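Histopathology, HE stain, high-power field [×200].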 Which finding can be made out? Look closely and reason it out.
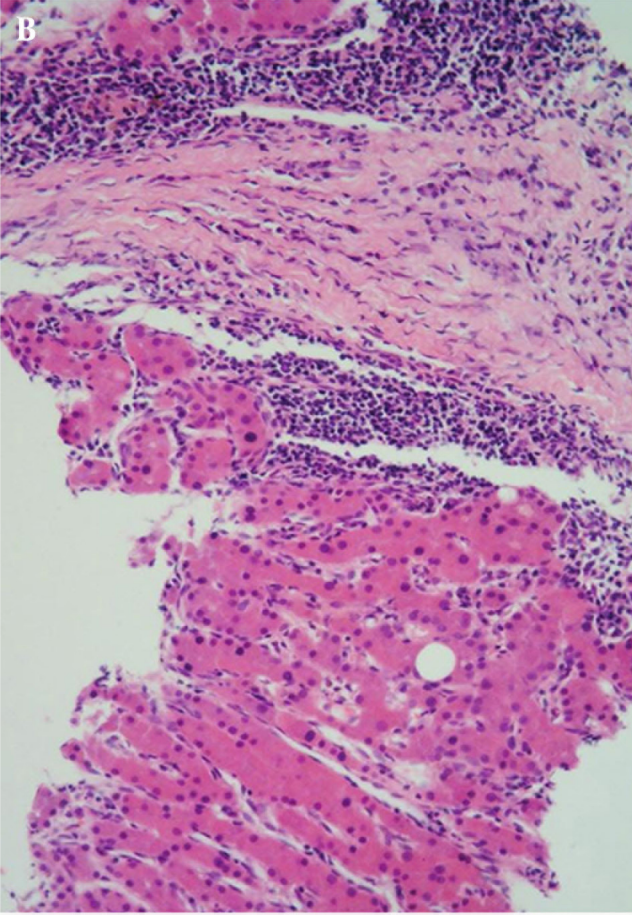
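Dense sheets of small round dark-blue nuclei with scant cytoplasm lie along the fibrous band. These small dark cells crowd the top and the middle of the field.
Answer: lymphocytic infiltration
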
